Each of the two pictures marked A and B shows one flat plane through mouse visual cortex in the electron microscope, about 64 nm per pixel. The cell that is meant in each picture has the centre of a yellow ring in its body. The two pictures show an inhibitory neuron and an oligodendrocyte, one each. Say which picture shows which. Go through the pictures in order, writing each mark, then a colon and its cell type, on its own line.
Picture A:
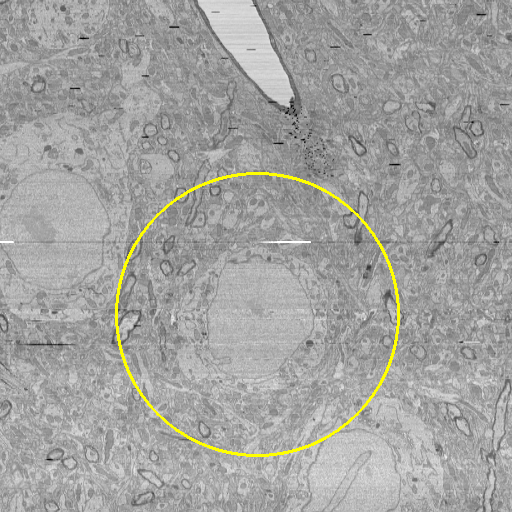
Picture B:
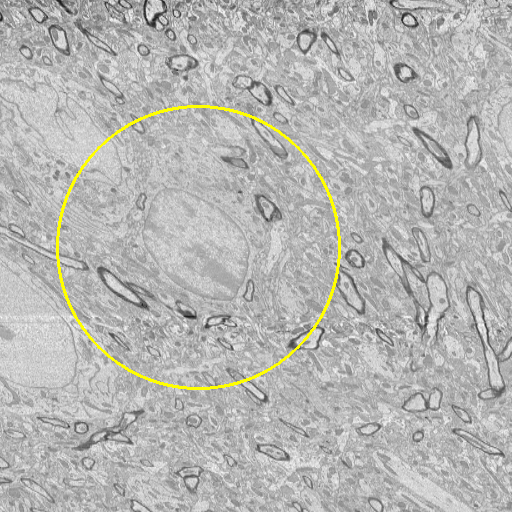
A: inhibitory neuron
B: oligodendrocyte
